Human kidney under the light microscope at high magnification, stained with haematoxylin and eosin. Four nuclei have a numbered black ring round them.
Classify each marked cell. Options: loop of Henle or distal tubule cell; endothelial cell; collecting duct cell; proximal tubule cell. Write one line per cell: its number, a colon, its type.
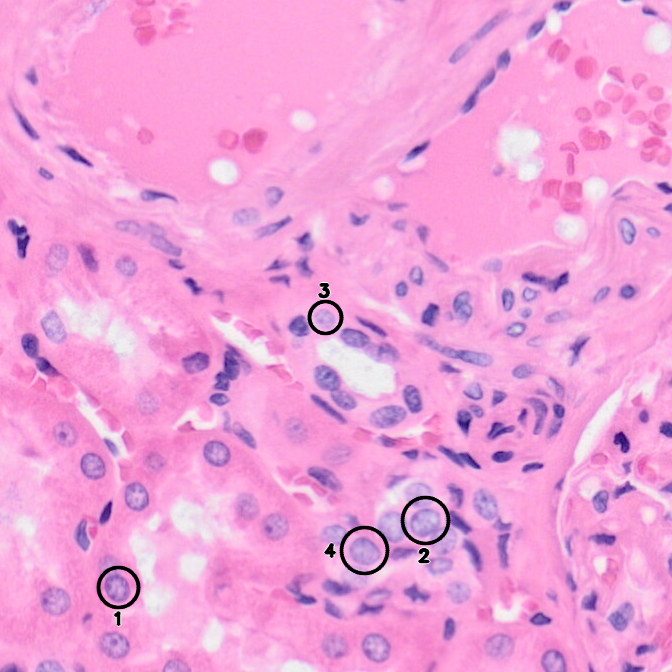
1: proximal tubule cell
2: collecting duct cell
3: collecting duct cell
4: collecting duct cell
